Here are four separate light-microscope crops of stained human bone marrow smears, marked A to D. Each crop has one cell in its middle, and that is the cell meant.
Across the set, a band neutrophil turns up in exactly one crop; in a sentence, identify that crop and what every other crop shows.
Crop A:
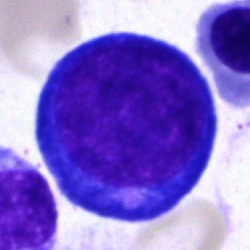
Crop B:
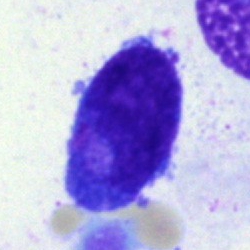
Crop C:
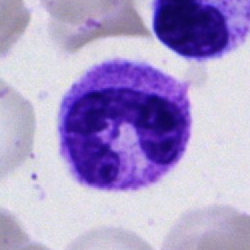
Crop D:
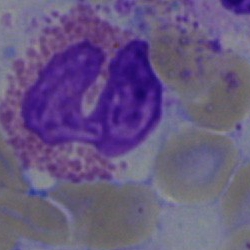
Crop C contains a band neutrophil; meanwhile, crop A is a proerythroblast, crop B is a promyelocyte and crop D is an eosinophil.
